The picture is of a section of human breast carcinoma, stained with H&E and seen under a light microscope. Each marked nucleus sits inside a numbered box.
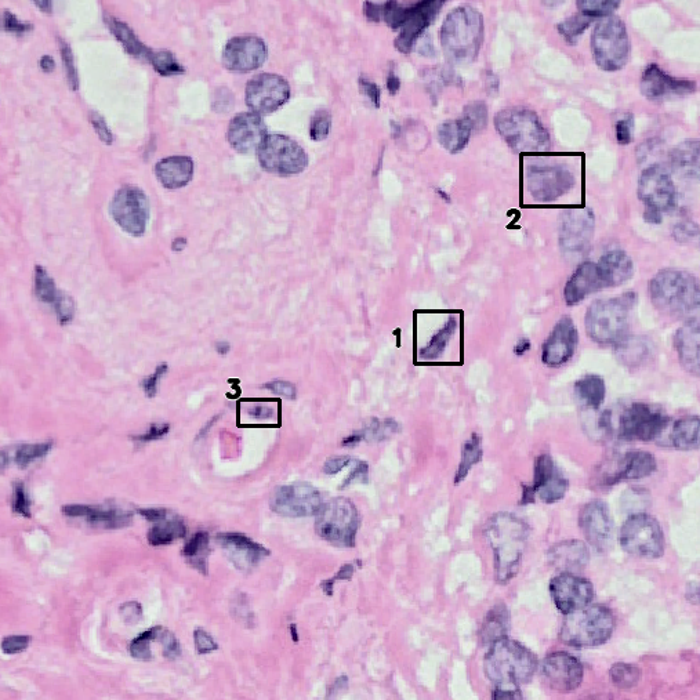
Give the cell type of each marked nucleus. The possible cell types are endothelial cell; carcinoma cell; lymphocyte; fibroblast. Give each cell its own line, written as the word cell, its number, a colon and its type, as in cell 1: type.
cell 1: fibroblast
cell 2: carcinoma cell
cell 3: endothelial cell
